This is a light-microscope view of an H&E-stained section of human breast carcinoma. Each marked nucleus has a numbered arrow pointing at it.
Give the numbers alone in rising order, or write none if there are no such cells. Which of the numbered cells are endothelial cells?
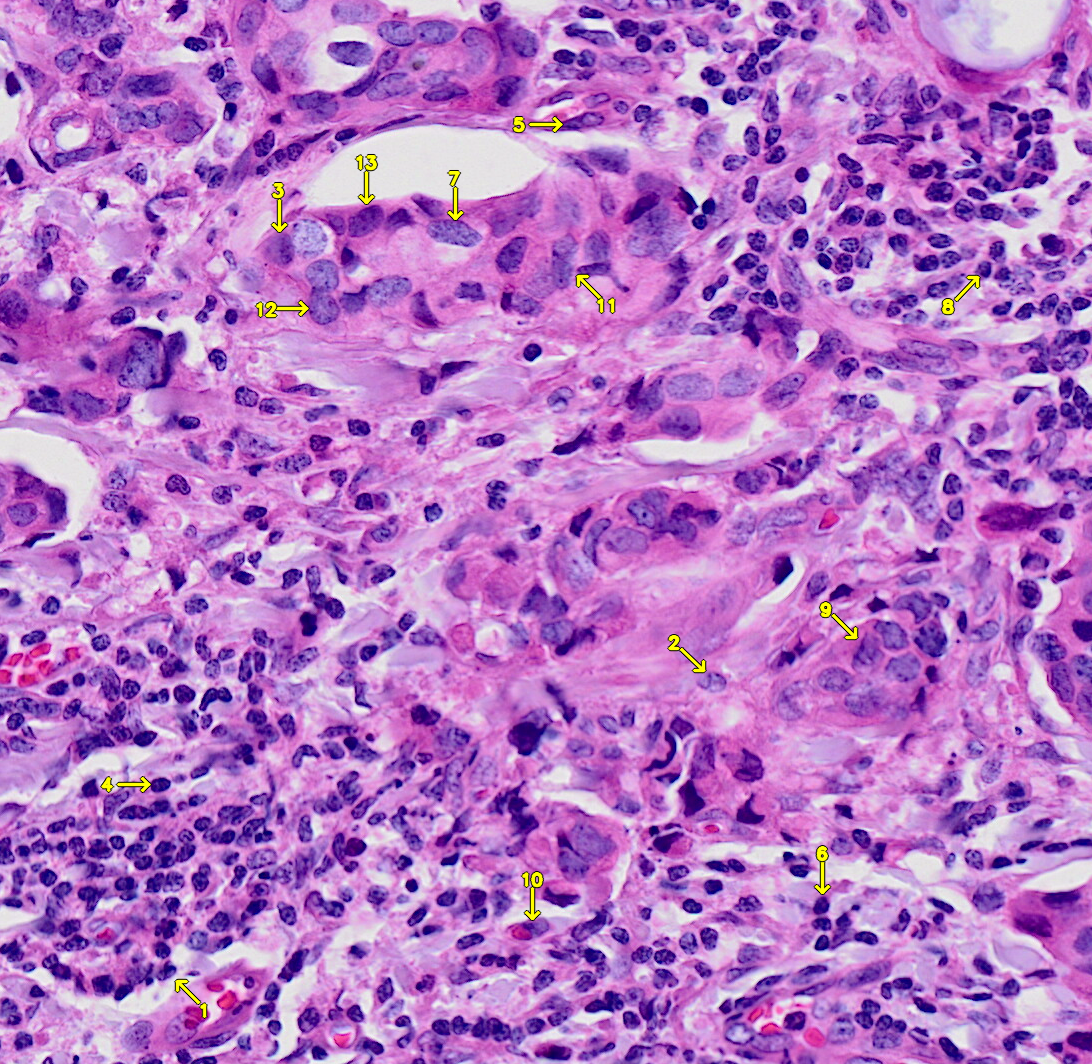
5, 10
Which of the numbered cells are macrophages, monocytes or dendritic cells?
2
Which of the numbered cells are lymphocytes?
1, 4, 6, 8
